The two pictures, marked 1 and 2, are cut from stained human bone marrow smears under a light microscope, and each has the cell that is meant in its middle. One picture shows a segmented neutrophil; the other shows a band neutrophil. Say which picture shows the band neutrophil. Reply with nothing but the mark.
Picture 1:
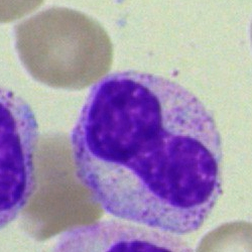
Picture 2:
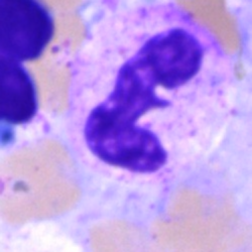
1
